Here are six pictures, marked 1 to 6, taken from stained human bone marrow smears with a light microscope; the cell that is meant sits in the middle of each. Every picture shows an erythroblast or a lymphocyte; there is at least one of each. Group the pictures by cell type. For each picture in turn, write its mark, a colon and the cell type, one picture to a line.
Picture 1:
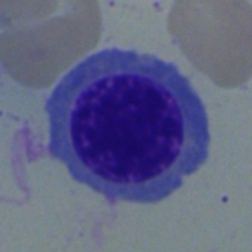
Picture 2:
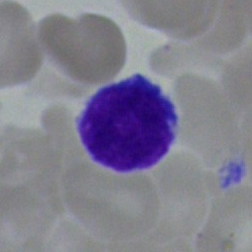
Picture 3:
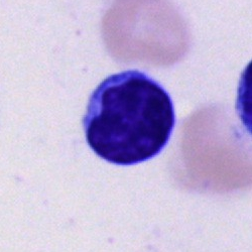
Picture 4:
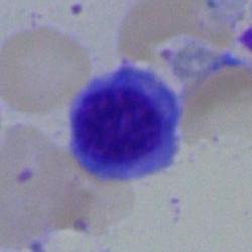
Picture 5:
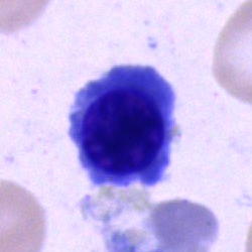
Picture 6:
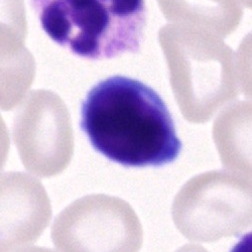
1: erythroblast
2: lymphocyte
3: lymphocyte
4: erythroblast
5: erythroblast
6: lymphocyte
